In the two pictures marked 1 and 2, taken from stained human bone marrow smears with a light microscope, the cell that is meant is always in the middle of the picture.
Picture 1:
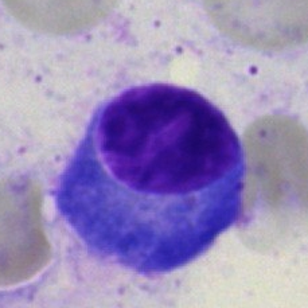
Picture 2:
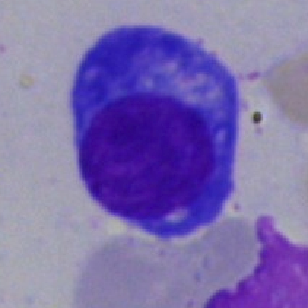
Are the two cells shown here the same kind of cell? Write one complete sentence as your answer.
Yes, the two pictures both show plasma cells.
